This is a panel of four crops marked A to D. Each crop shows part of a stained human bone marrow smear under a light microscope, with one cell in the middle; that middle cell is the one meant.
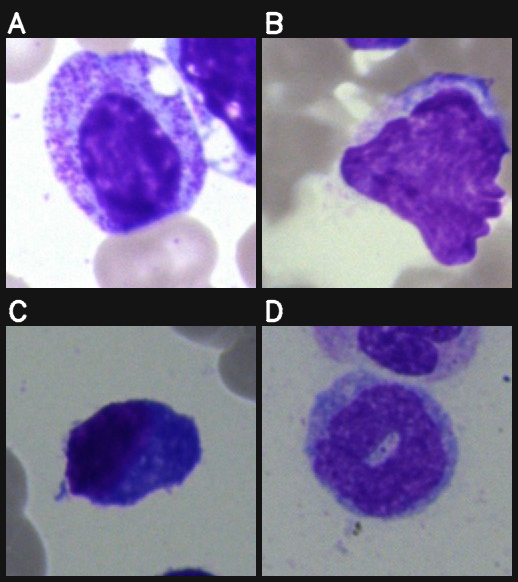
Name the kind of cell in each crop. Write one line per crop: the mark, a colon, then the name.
A: myelocyte
B: blast
C: plasma cell
D: monocyte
